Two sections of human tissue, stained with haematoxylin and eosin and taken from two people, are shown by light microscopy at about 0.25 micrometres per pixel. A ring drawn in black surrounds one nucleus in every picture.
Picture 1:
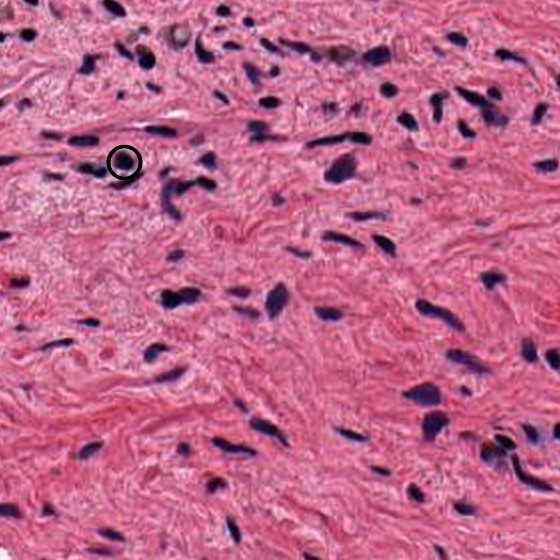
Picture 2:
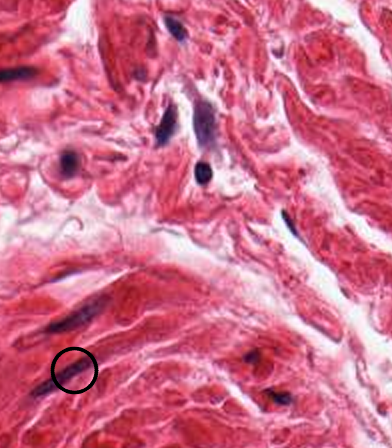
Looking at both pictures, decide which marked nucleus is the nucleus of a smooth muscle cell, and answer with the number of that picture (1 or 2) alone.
2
